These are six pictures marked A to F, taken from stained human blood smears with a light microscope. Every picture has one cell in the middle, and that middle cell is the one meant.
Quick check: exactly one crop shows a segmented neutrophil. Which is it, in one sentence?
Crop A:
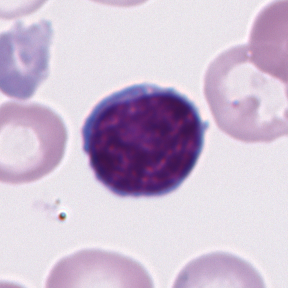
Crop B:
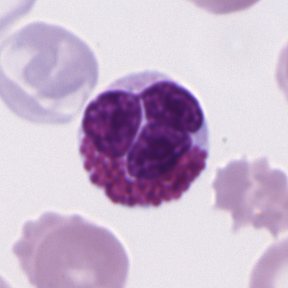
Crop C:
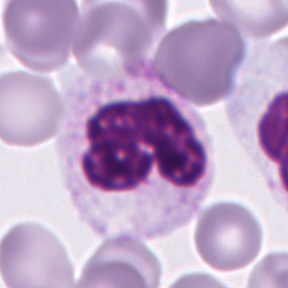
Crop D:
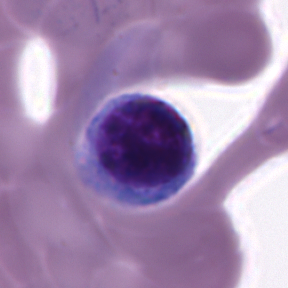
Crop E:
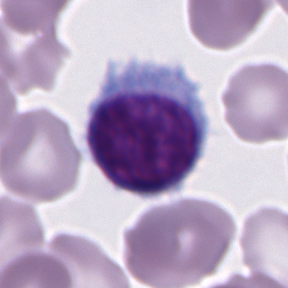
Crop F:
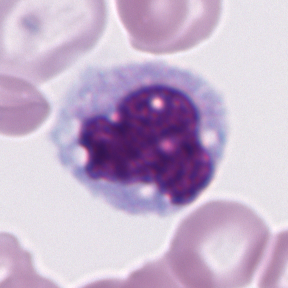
Crop C is the crop that shows a segmented neutrophil in its middle.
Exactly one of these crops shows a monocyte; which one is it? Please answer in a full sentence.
Crop F is the one in the set with a monocyte at the center.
